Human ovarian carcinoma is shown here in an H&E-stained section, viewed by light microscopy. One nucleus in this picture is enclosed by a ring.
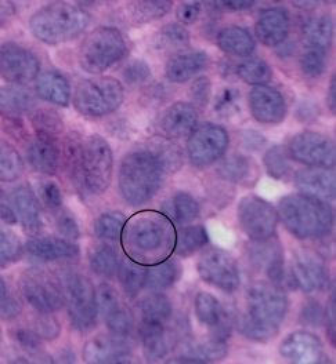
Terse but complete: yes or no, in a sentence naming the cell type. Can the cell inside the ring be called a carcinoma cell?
Yes, the cell inside the ring is categorized as a carcinoma cell in this section.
